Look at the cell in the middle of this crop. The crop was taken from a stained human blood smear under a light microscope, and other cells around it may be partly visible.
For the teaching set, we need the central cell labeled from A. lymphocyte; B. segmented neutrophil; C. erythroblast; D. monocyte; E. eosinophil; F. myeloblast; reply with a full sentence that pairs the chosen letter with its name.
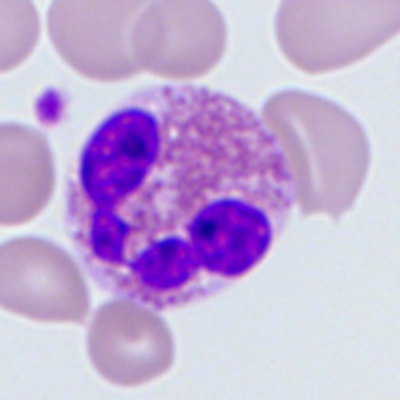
Seen at the centre of the crop is an eosinophil, so option E is correct.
